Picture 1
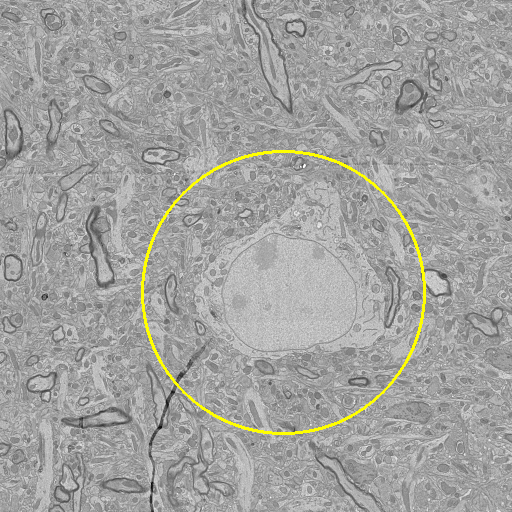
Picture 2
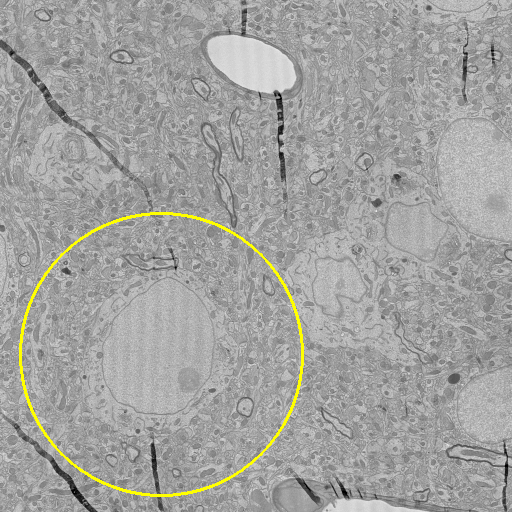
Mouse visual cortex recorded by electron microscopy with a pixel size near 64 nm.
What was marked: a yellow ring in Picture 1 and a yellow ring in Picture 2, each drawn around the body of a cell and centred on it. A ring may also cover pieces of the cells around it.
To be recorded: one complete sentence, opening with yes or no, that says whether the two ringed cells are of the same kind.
Yes, the two ringed cells are of the same kind.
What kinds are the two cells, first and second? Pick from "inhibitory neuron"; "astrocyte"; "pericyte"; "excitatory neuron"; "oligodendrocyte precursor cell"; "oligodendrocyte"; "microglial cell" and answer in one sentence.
Each of the two cells is an excitatory neuron.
